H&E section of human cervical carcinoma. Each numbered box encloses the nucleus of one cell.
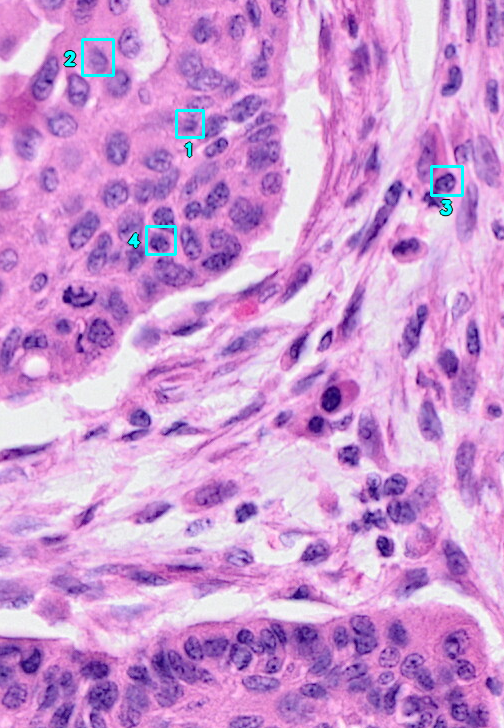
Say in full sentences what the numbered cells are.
Cell 1 is a squamous carcinoma cell, cell 2 is a squamous carcinoma cell, cell 3 is a lymphocyte and cell 4 is a squamous carcinoma cell.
